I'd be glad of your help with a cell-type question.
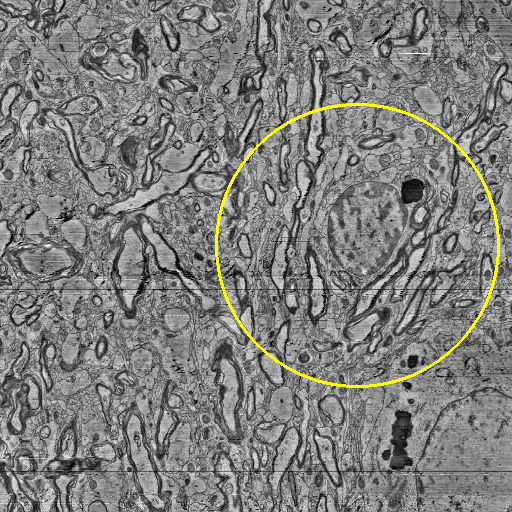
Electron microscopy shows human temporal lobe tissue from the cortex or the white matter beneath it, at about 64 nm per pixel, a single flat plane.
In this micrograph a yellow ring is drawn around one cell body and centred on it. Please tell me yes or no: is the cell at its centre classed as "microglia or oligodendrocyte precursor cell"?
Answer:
yes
